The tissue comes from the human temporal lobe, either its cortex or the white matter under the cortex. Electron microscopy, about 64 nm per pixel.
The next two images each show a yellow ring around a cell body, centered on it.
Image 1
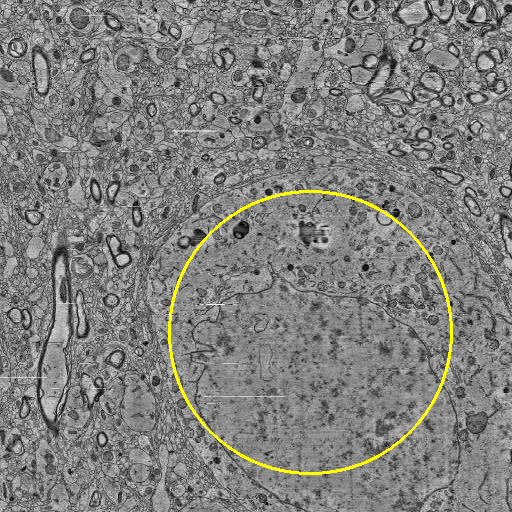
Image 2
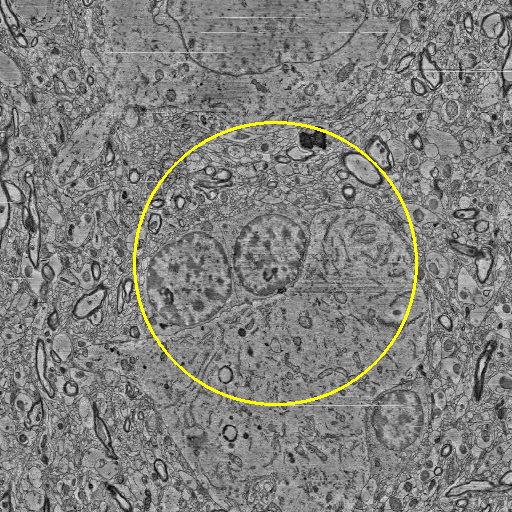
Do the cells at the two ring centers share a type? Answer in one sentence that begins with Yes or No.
No, across the two images the cells at the ring centers are of two types.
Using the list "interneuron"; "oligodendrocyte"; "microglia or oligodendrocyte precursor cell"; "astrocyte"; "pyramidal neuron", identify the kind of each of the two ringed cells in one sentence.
The first is a pyramidal neuron and the second is a microglial cell or oligodendrocyte precursor cell.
